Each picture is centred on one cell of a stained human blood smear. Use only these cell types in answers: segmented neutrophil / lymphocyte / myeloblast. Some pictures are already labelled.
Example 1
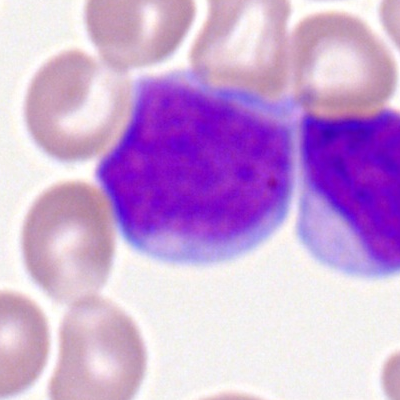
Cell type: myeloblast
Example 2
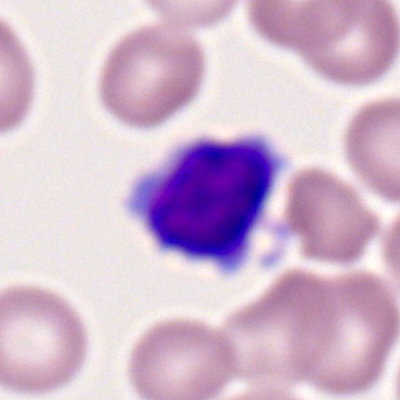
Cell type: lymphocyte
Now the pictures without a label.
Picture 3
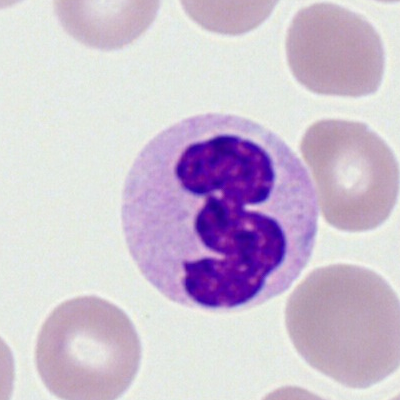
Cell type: segmented neutrophil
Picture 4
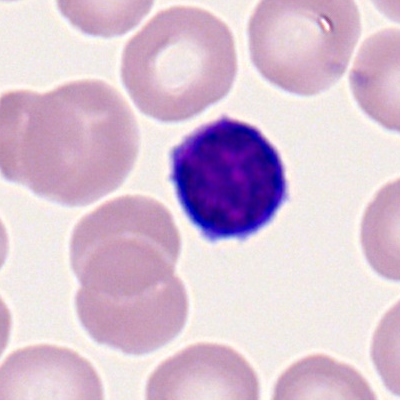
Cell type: lymphocyte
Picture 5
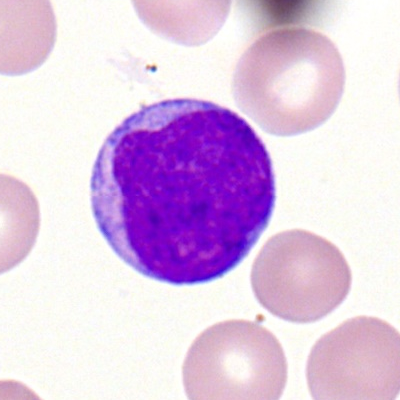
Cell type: myeloblast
